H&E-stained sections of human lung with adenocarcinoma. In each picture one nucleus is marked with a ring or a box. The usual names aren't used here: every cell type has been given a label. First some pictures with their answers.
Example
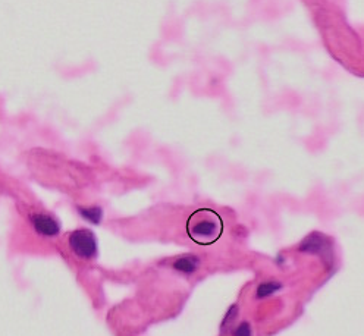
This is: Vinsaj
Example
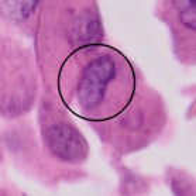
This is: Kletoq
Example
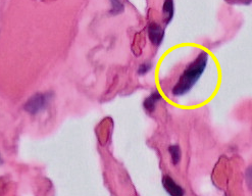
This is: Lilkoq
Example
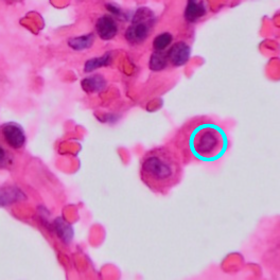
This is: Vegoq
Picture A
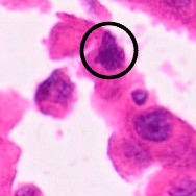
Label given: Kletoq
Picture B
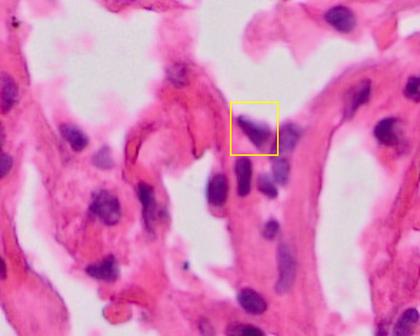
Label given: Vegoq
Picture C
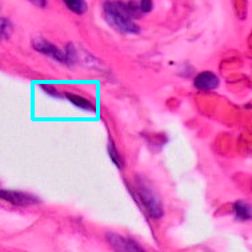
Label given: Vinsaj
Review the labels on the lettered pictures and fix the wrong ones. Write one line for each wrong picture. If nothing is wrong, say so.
B: change Vegoq to Lilkoq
